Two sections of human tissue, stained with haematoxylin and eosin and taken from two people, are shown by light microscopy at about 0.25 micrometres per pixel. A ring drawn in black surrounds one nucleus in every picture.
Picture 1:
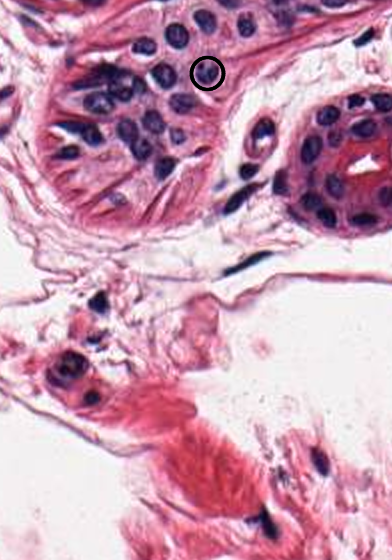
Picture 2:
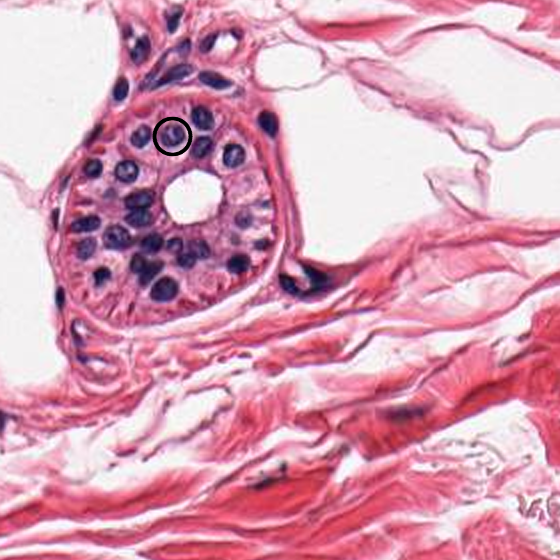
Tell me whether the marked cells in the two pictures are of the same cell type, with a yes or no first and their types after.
Yes, both are sweat gland cells.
